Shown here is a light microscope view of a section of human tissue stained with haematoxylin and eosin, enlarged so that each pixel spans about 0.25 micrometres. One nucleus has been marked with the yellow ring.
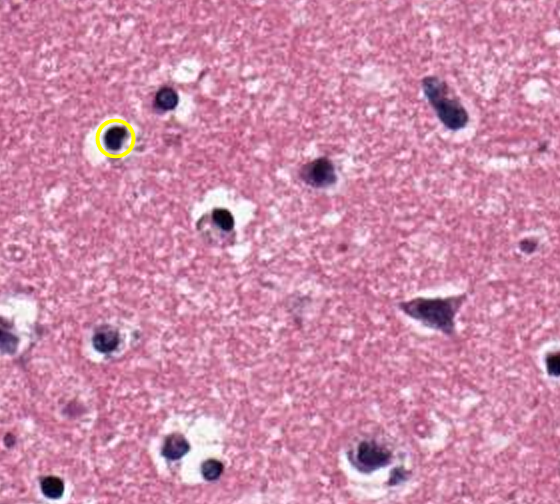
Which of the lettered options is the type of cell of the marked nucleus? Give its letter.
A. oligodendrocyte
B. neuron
A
